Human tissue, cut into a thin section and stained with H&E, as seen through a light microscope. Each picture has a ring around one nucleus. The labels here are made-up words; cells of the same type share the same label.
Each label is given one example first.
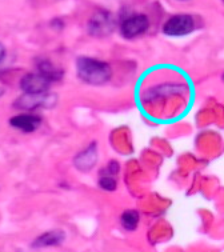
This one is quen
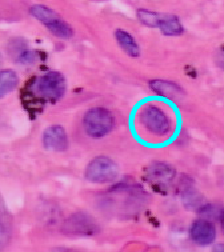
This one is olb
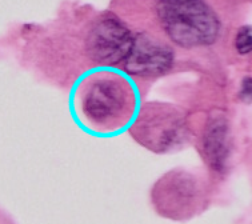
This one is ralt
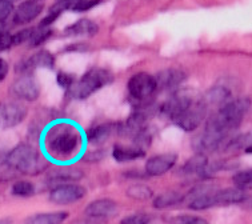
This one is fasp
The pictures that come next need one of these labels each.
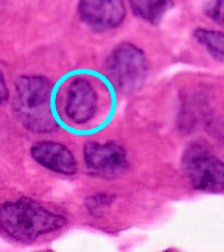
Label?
ralt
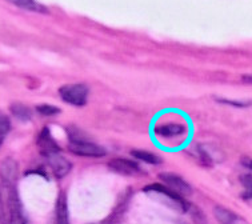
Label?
olb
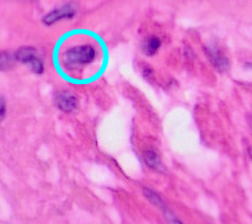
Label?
olb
